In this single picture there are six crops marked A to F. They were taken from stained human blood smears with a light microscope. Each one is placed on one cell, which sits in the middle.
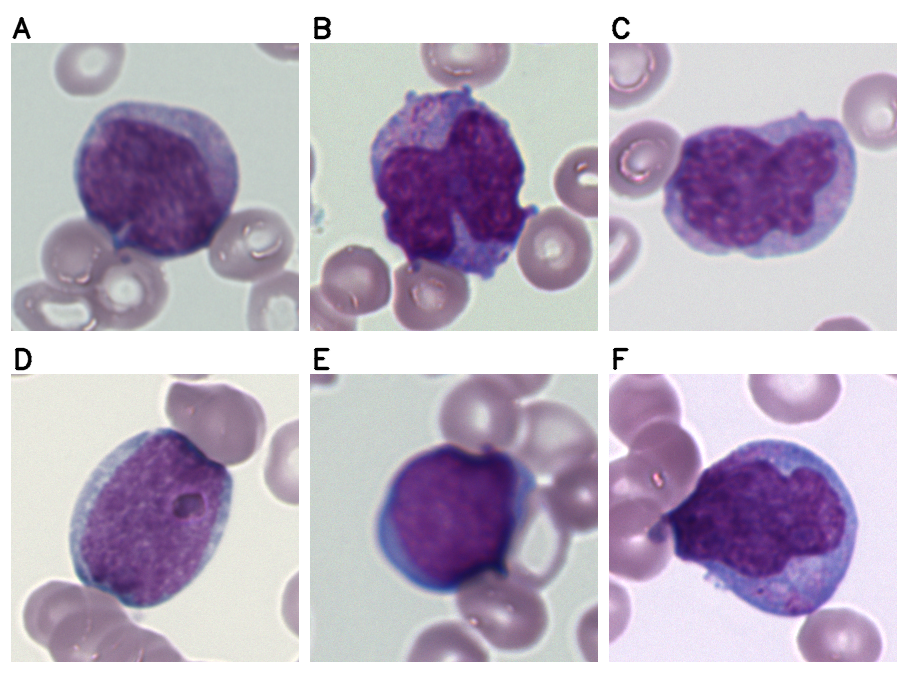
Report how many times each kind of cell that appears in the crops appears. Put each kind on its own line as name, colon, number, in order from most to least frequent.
atypical promyelocyte: 4
myeloblast: 2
